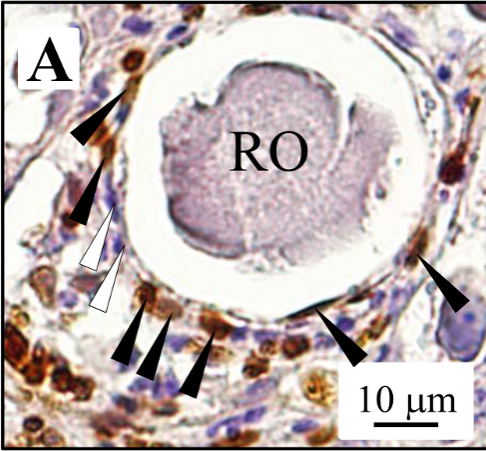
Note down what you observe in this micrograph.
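This section shows a regressing oocyte in the gonad surrounded by somatic cells. The oocyte is a large rounded cell with pale lilac, finely granular cytoplasm, separated from its surroundings by a wide clear ring. Around it lies a thin layer of small flattened cells closely applied to the clear rim, and outside this a loose tissue of small cells with rounded to oval nuclei. Many of the small surrounding cells have dark brown nuclei, while others have nuclei stained only blue-purple. The brown nuclei are scattered around much of the circumference, especially at the lower left.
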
